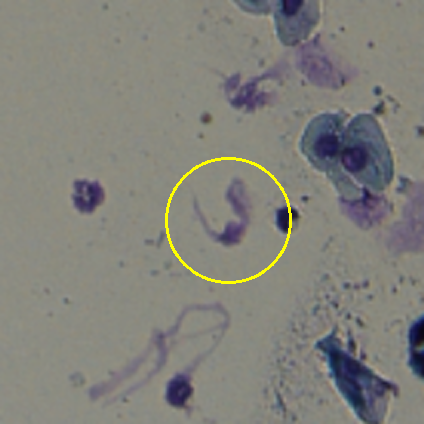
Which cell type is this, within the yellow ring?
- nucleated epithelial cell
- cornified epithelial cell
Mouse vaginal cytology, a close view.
Within the ring is a cornified epithelial cell.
